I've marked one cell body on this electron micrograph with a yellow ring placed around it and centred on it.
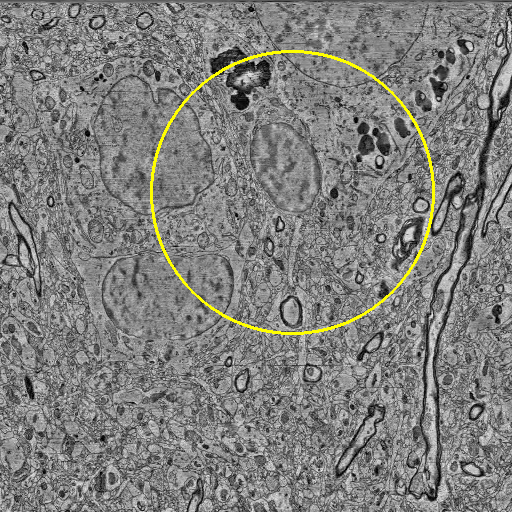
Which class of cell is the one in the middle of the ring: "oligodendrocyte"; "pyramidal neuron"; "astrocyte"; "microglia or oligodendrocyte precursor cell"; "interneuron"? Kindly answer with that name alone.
oligodendrocyte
